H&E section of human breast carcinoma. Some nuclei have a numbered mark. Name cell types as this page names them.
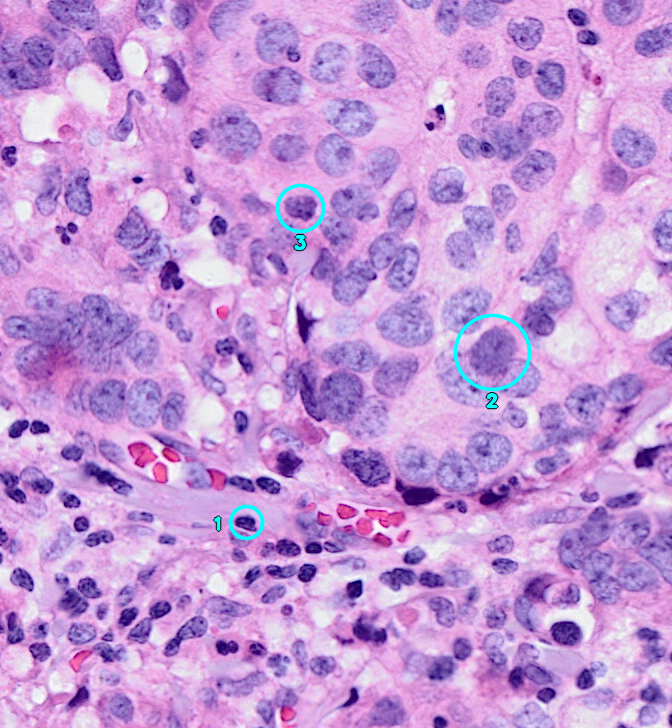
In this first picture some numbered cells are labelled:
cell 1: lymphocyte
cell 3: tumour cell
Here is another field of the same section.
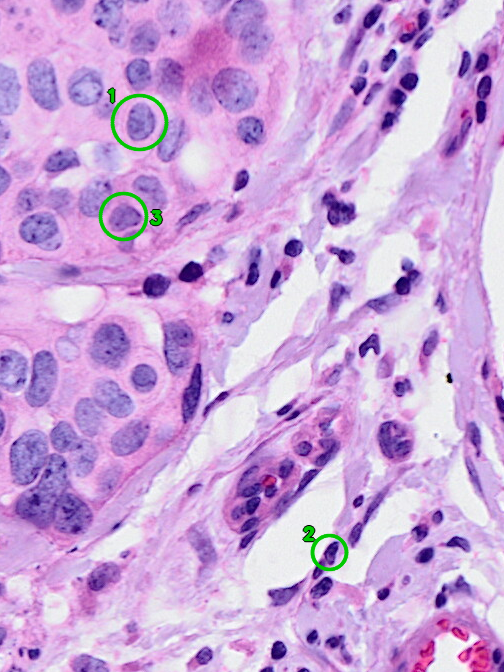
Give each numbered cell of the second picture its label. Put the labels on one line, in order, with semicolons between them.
tumour cell; lymphocyte; tumour cell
